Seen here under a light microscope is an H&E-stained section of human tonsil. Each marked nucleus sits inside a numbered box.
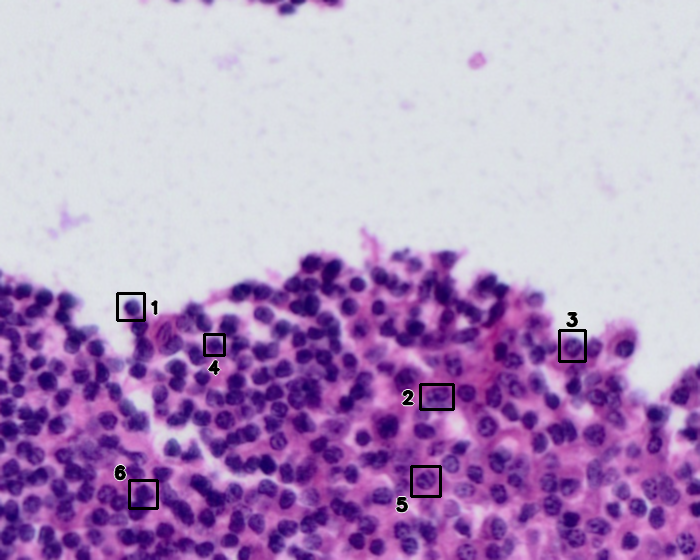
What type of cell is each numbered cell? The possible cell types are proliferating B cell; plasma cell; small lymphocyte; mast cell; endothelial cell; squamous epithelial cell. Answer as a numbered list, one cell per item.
1. small lymphocyte
2. plasma cell
3. plasma cell
4. small lymphocyte
5. plasma cell
6. small lymphocyte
